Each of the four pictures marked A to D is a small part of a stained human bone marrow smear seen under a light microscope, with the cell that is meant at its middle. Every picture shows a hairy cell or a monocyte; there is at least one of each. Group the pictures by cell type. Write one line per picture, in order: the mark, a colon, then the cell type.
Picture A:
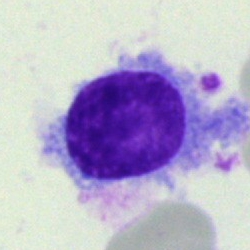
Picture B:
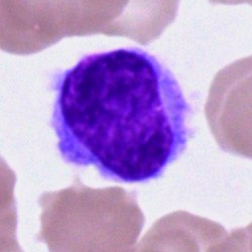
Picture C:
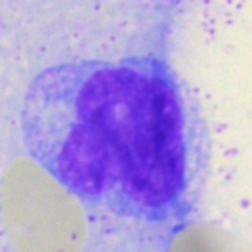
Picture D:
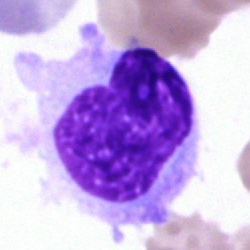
A: hairy cell
B: hairy cell
C: monocyte
D: hairy cell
